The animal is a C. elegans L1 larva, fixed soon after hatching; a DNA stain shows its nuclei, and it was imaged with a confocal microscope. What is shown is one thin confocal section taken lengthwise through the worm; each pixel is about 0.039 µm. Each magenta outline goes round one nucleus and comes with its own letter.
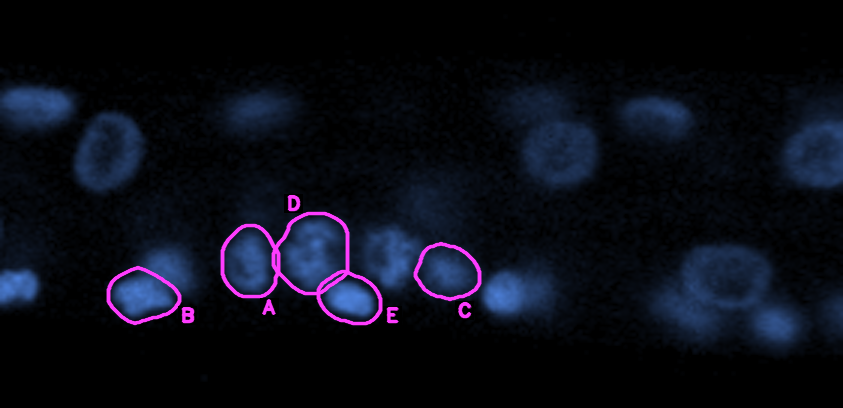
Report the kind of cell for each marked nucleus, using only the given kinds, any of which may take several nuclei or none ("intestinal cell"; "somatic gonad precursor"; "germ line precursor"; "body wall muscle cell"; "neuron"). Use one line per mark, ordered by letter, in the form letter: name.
A: somatic gonad precursor
B: neuron
C: body wall muscle cell
D: germ line precursor
E: neuron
